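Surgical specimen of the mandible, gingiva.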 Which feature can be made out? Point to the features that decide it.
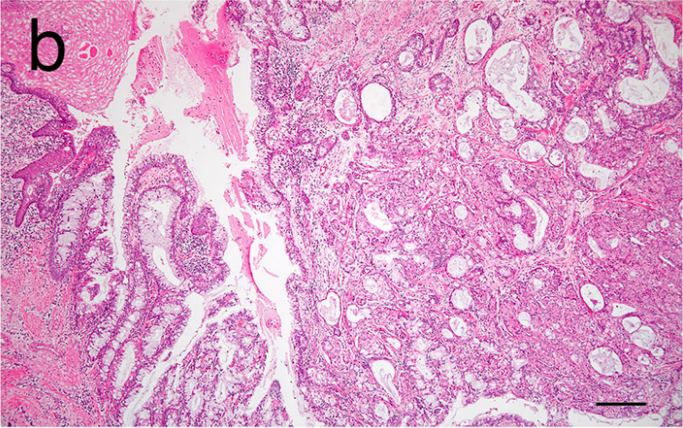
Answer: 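Many round, clear spaces of varying size lie within the tumor tissue on the right. The spaces are lined by epithelial cells and some contain pale material. That points to this answer: cystic spaces.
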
